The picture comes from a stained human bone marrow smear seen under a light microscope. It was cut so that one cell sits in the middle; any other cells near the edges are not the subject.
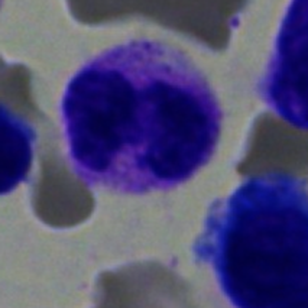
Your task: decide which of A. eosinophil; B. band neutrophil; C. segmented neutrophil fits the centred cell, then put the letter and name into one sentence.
The central cell in this crop is a segmented neutrophil, so the correct choice is option C.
